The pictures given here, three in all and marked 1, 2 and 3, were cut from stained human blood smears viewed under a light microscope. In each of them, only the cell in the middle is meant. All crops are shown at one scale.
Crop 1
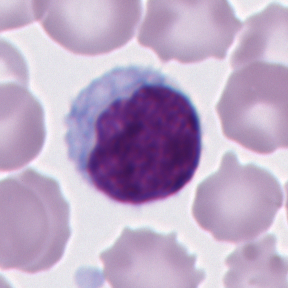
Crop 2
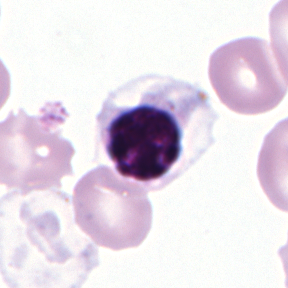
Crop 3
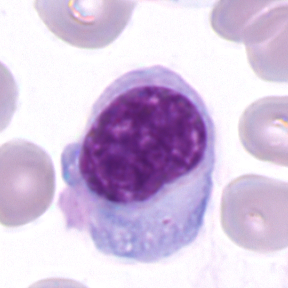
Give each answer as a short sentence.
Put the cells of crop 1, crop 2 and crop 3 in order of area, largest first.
From the largest down, the order is 3, 1, 2.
